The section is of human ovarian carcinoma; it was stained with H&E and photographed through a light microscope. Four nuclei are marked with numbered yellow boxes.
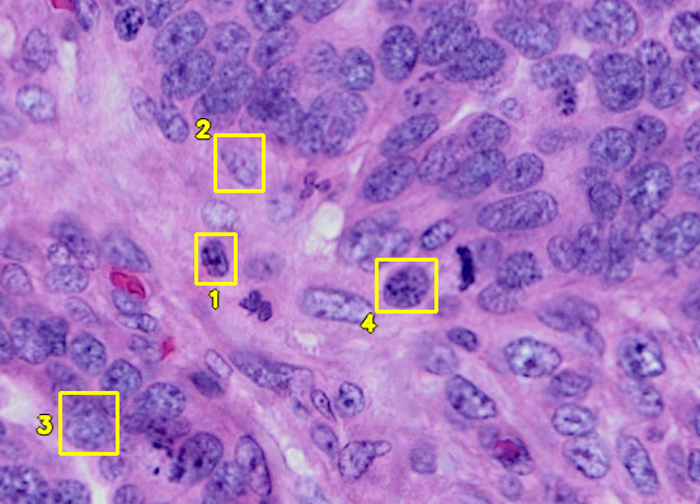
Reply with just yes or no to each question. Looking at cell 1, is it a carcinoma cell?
no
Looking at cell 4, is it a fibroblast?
no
